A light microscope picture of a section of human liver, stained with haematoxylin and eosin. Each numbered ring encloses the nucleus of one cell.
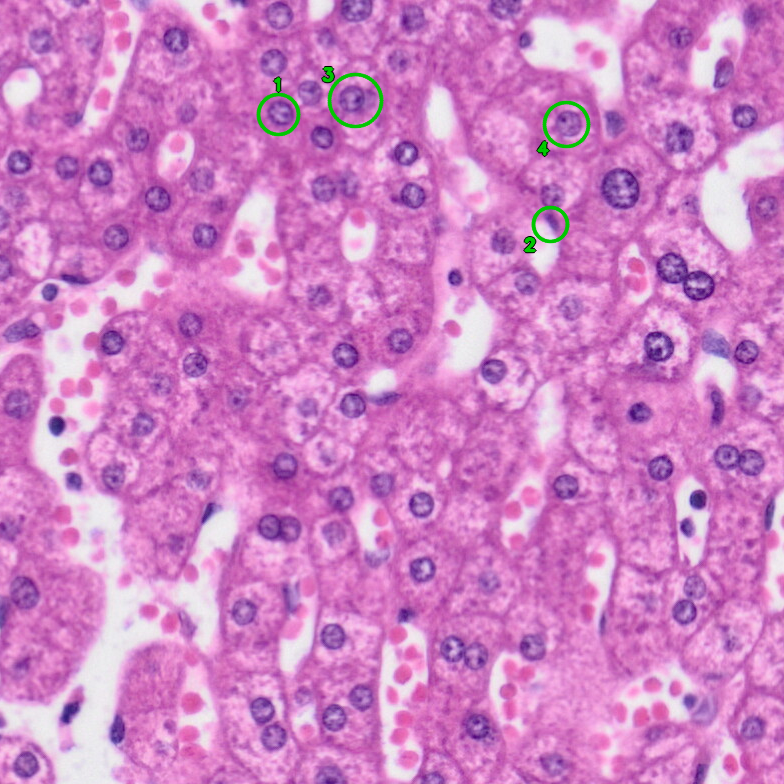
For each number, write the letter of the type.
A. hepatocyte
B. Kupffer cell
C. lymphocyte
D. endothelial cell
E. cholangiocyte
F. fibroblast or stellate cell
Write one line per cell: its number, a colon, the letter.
1: A
2: D
3: A
4: A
